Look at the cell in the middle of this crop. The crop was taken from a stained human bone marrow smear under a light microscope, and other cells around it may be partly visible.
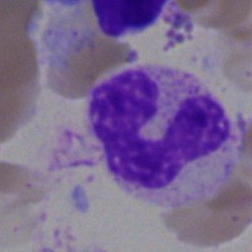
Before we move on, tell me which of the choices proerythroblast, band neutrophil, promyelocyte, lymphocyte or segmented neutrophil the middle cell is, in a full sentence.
Located at the centre of the crop is a band neutrophil.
